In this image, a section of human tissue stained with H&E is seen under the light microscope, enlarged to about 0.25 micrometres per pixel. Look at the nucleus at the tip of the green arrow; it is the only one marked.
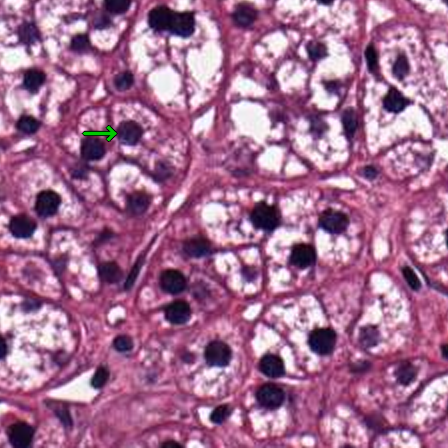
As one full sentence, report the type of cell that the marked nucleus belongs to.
In this section, the marked nucleus is that of an adrenal cortical cell.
